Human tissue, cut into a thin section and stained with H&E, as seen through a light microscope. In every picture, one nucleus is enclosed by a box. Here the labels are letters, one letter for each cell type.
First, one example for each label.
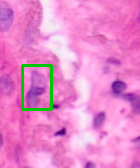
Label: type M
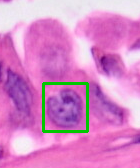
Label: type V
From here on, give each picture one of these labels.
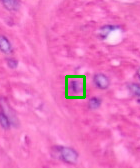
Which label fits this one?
type M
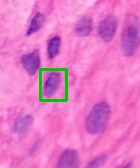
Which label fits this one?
type M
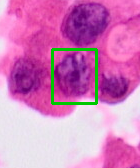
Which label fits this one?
type V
